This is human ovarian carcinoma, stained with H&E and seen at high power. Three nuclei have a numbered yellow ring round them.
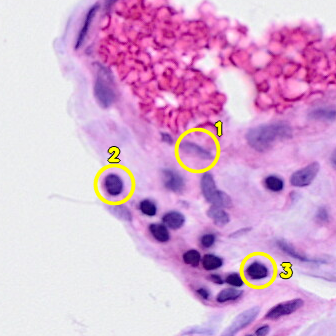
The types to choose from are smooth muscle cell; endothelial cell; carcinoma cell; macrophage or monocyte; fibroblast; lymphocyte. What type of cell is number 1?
endothelial cell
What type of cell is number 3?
lymphocyte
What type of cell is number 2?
lymphocyte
